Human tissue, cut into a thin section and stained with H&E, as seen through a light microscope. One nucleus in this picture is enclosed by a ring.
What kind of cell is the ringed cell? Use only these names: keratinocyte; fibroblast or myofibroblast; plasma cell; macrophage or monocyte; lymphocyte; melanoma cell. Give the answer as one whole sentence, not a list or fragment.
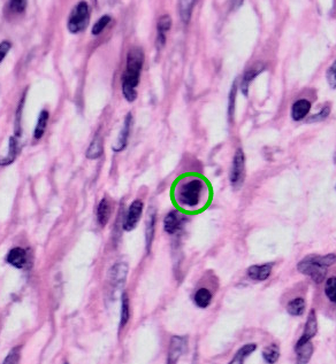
The identity of the ringed cell: it is a plasma cell.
